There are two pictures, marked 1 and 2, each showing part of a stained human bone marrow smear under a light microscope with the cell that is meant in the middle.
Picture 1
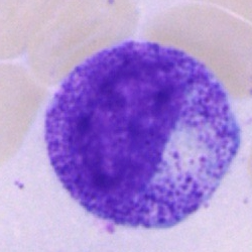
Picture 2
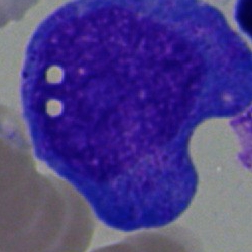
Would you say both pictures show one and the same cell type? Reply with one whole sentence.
Yes, they are the same type: both are promyelocytes.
